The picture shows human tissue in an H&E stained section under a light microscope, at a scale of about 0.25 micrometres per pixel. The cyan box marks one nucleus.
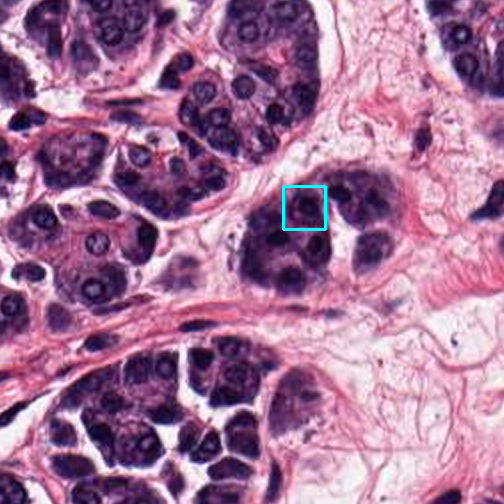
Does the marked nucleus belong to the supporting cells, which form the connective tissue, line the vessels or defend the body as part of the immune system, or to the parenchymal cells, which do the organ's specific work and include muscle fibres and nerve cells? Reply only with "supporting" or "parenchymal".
parenchymal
